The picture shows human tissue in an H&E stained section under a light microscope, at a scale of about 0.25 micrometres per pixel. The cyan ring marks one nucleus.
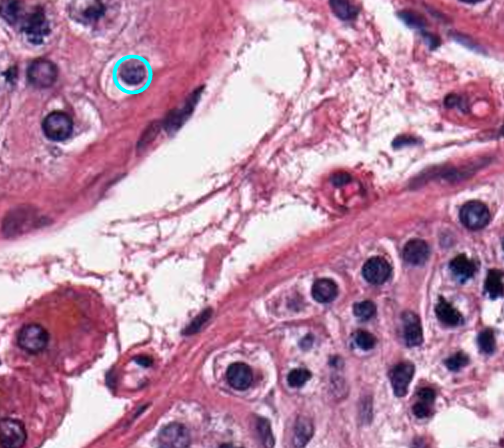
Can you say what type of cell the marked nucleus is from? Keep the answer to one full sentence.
Marked in this picture is the nucleus of a spermatogonium.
